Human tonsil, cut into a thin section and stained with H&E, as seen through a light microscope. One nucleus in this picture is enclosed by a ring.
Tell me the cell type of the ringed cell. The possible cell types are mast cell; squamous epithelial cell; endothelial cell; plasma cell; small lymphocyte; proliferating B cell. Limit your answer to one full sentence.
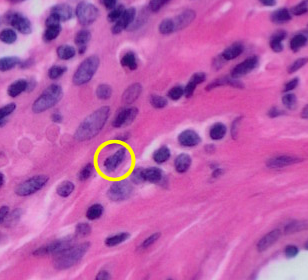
In this section, the ringed cell is a mast cell.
